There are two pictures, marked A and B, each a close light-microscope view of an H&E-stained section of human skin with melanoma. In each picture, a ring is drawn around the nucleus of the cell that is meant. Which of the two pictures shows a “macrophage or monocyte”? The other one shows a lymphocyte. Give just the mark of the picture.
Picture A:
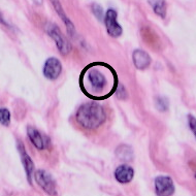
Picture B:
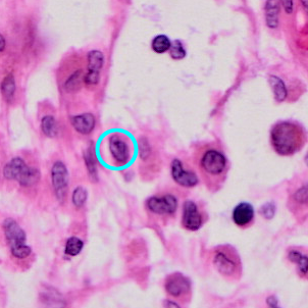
B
